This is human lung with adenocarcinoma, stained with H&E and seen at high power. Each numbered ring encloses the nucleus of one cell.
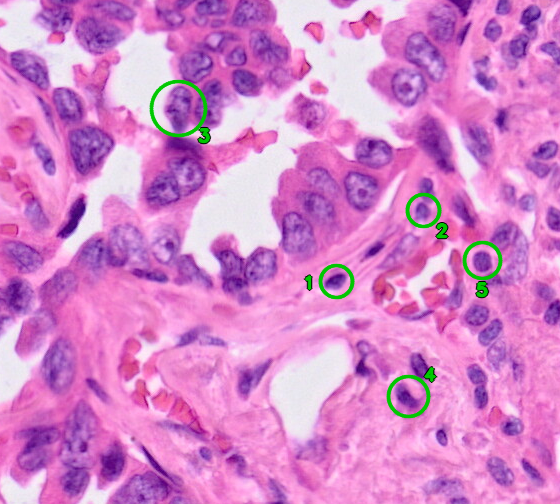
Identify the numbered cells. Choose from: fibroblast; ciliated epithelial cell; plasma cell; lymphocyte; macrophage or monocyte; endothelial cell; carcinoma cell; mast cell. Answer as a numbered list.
1. lymphocyte
2. lymphocyte
3. carcinoma cell
4. plasma cell
5. lymphocyte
